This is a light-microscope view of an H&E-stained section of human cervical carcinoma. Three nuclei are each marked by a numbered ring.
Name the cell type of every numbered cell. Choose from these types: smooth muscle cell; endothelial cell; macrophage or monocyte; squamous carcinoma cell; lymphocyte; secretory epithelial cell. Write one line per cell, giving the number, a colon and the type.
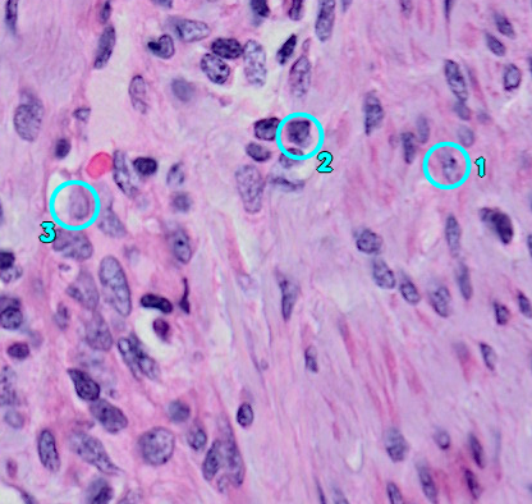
1: smooth muscle cell
2: lymphocyte
3: endothelial cell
